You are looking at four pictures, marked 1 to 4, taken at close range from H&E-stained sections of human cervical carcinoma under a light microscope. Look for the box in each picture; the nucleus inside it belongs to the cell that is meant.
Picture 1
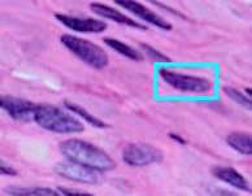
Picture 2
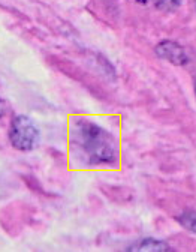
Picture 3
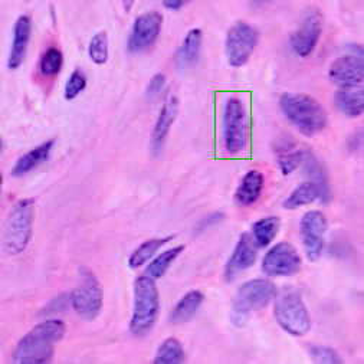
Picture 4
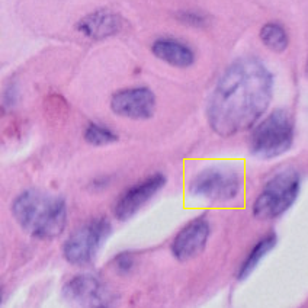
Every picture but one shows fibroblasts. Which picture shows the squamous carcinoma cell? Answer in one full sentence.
The squamous carcinoma cell is the one in picture 4.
